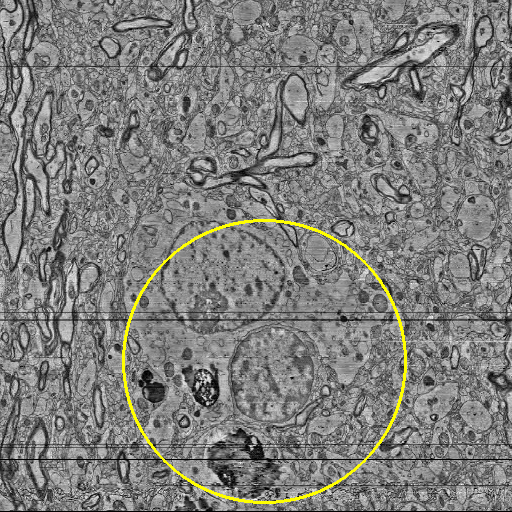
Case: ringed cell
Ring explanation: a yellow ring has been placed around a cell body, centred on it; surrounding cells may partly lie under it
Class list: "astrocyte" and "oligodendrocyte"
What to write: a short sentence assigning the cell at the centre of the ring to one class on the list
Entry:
The cell at the ring's centre is an oligodendrocyte.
